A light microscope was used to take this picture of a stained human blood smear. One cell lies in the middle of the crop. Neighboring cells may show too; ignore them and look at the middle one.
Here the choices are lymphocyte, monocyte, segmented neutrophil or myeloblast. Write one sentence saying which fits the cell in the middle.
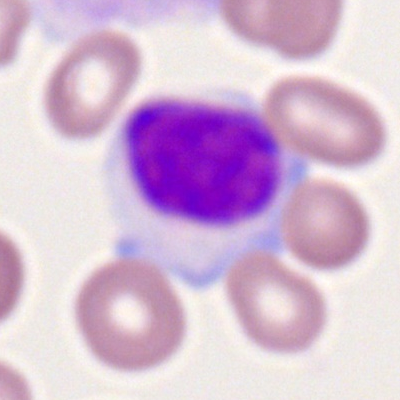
The central cell in this smear crop is a lymphocyte.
